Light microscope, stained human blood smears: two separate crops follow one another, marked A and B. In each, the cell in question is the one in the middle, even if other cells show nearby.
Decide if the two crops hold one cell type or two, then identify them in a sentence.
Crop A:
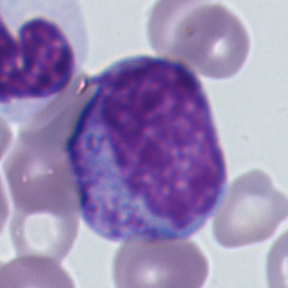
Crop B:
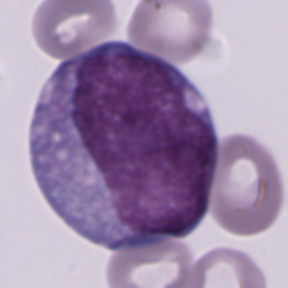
Yes, the cells of interest in both crops are promyelocytes.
